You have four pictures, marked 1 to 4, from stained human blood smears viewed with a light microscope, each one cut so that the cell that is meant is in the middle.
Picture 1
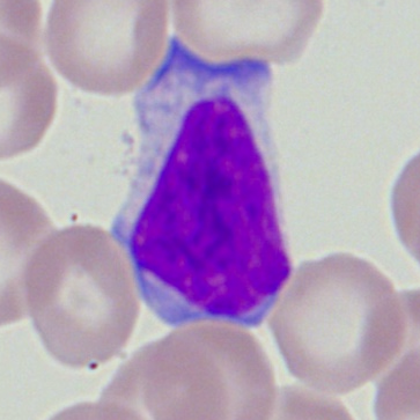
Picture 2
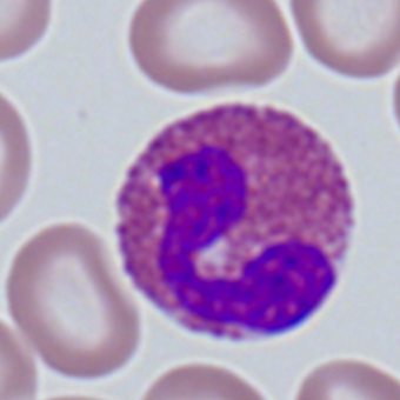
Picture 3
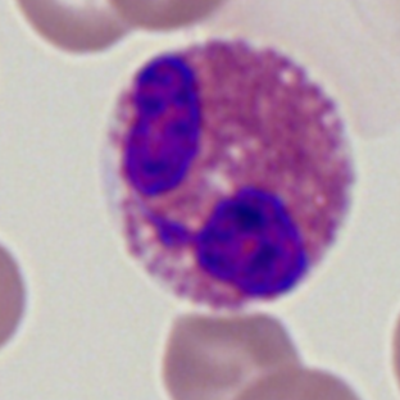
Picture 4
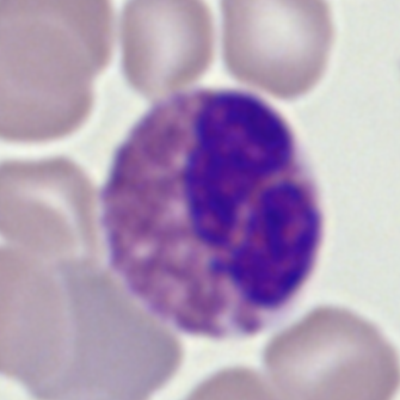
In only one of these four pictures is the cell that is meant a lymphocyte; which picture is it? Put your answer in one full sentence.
The picture with the lymphocyte is 1.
